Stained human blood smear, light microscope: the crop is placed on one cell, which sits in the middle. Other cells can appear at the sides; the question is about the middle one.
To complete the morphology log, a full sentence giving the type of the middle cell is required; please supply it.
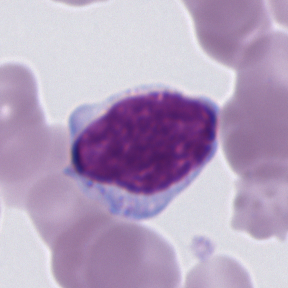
At the middle of the frame sits a large granular lymphocyte.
